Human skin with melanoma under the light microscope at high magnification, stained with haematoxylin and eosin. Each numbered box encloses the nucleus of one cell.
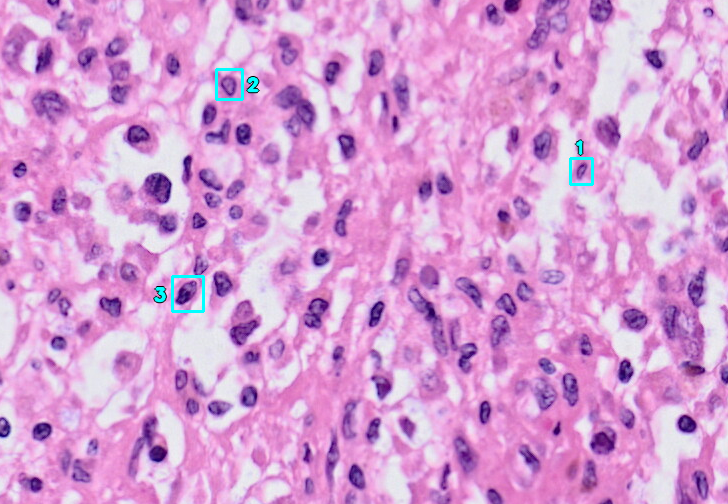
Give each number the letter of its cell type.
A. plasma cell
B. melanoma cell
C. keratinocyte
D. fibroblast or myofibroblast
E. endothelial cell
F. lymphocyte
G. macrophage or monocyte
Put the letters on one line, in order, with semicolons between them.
G; G; F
